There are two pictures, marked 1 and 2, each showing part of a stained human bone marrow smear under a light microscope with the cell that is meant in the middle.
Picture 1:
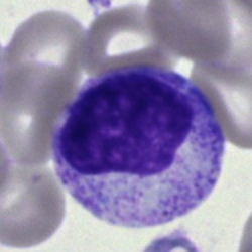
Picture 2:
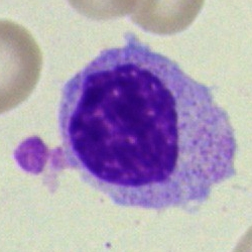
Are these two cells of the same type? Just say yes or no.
yes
